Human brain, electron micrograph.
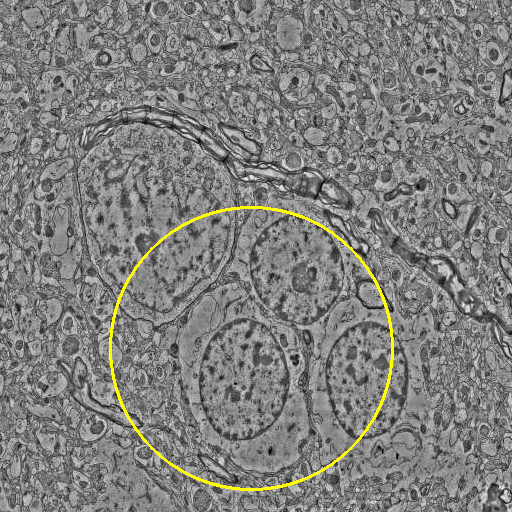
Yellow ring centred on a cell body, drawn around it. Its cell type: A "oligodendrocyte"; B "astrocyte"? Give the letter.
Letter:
B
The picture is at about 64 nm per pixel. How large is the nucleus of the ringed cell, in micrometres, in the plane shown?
The nucleus appears roughly 8 by 6 micrometres in this plane.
